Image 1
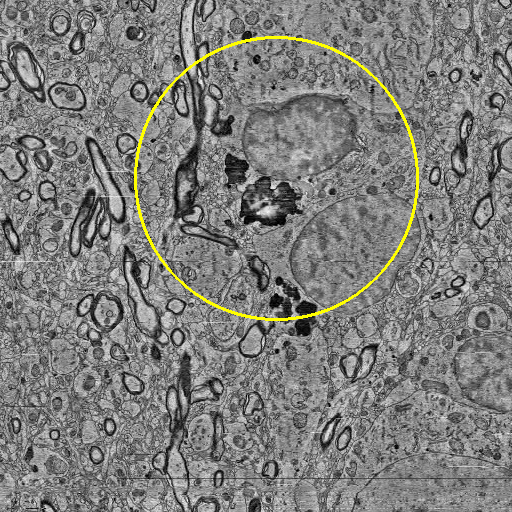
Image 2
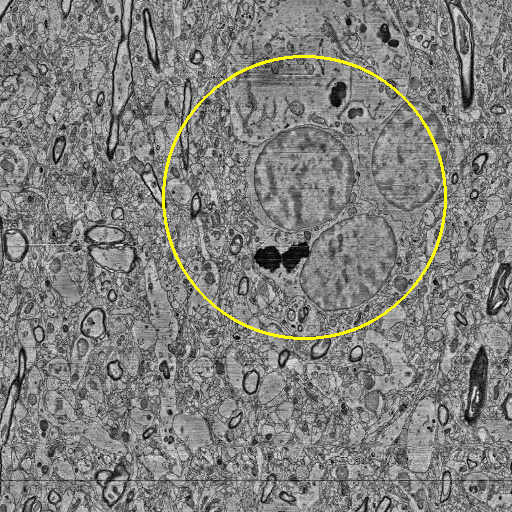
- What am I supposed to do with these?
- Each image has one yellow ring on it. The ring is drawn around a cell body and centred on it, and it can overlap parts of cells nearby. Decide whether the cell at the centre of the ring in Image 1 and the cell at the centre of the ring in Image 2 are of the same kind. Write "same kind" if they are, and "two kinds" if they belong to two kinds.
same kind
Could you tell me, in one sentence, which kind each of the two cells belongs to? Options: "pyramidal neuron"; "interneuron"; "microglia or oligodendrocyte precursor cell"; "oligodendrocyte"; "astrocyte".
In each of the two pictures, the ringed cell is an oligodendrocyte.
